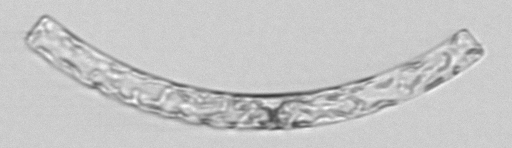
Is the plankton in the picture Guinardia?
Yes, it is Guinardia.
